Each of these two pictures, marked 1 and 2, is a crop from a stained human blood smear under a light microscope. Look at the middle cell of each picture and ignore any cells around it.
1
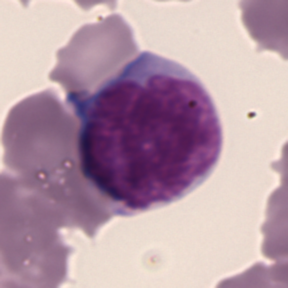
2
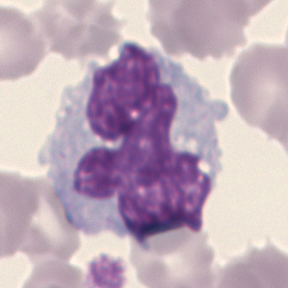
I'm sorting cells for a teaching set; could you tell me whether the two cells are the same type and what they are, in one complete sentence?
No, a myeloblast is in crop 1, while a monocyte is in crop 2.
